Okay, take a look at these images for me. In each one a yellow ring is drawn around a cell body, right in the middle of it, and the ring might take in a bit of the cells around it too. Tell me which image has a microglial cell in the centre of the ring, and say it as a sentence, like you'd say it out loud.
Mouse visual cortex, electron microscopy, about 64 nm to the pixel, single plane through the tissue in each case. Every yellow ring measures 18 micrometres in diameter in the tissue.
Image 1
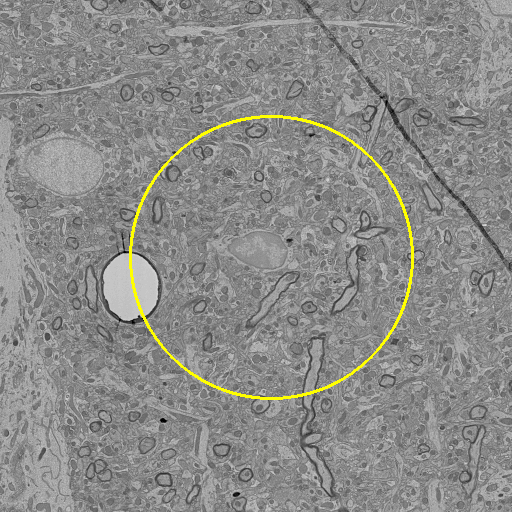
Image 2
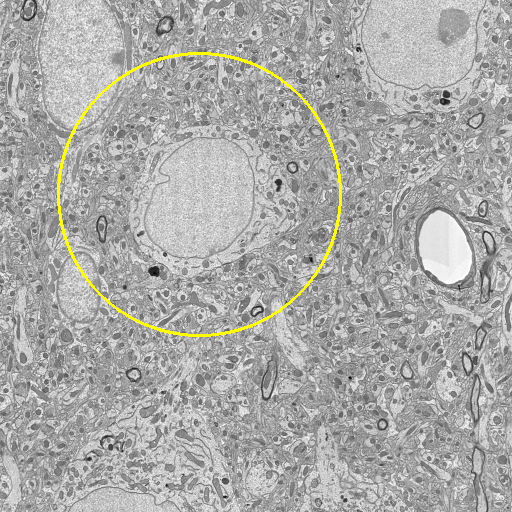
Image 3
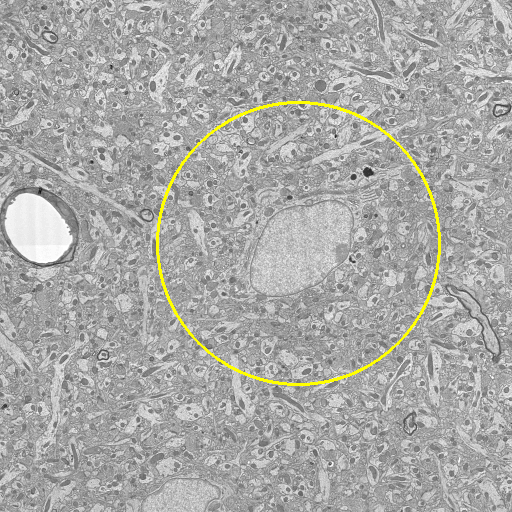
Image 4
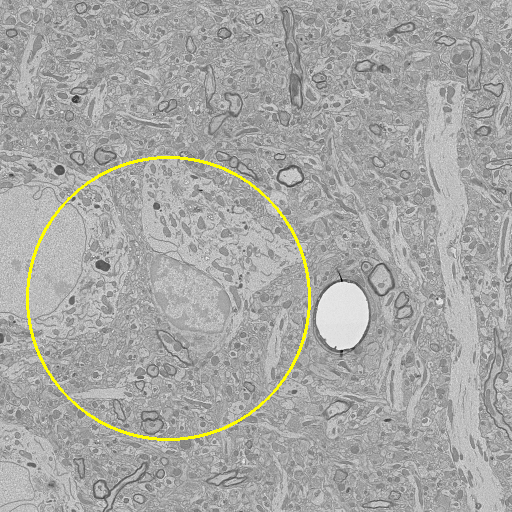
Image 1 is the one with it in the centre of the ring.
